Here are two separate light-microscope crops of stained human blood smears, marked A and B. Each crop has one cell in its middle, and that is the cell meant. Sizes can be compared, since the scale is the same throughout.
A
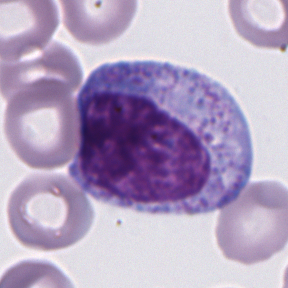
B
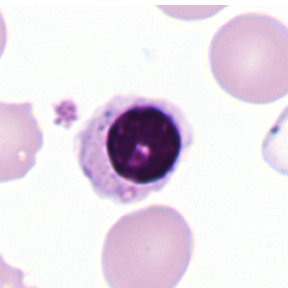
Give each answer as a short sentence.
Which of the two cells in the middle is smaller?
It is the cell in picture B; the cell in picture A has about 2.5 times its area.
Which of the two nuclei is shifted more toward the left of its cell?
It is the nucleus in picture A that lies further toward the left of its cell.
